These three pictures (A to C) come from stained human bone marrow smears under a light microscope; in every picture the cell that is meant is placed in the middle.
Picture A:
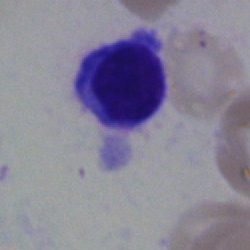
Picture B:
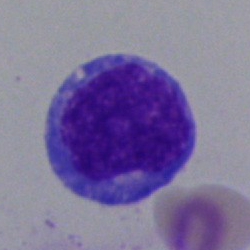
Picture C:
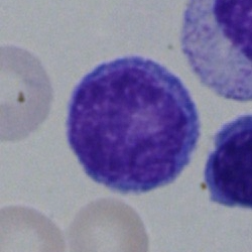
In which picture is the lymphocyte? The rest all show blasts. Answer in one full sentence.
Picture A shows the lymphocyte.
